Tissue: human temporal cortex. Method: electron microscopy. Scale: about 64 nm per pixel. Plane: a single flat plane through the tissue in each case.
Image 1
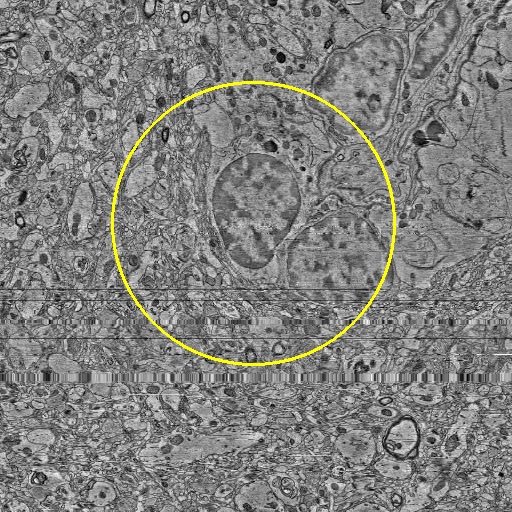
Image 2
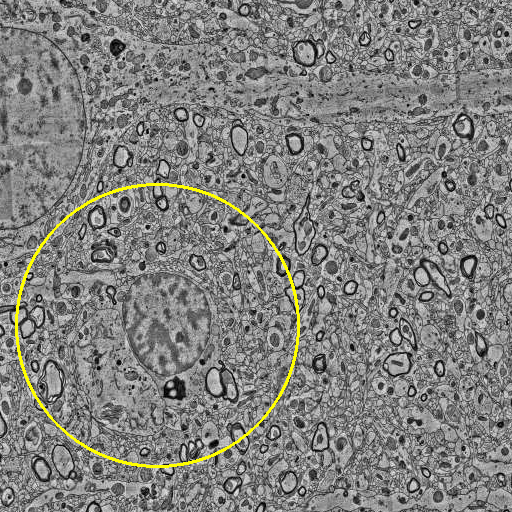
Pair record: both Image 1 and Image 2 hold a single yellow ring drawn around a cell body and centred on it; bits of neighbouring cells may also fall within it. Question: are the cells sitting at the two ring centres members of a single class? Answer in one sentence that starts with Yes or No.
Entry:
No, the ring-centre cells in Image 1 and Image 2 come from two classes.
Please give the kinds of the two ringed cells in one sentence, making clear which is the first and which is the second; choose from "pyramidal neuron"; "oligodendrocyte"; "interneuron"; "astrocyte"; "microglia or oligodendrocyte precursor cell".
In the second picture the ringed cell is an oligodendrocyte; in the first it is a microglial cell or oligodendrocyte precursor cell.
